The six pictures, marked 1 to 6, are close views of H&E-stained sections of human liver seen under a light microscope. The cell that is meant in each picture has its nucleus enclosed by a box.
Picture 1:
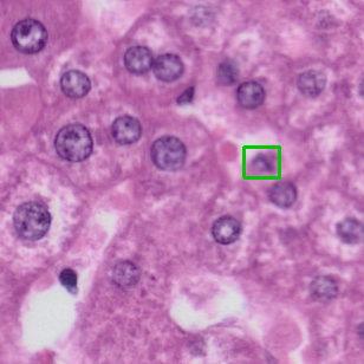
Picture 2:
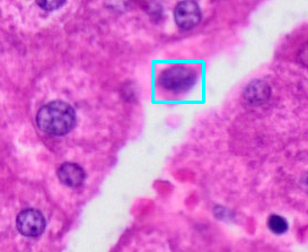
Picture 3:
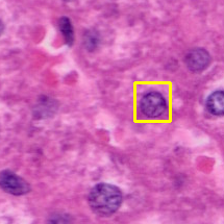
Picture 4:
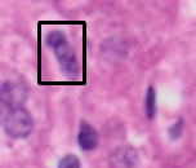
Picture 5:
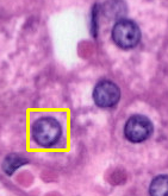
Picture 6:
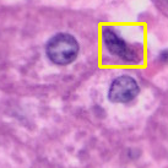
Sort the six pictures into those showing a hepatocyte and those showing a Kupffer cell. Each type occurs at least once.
1: Kupffer cell
2: Kupffer cell
3: hepatocyte
4: Kupffer cell
5: hepatocyte
6: Kupffer cell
